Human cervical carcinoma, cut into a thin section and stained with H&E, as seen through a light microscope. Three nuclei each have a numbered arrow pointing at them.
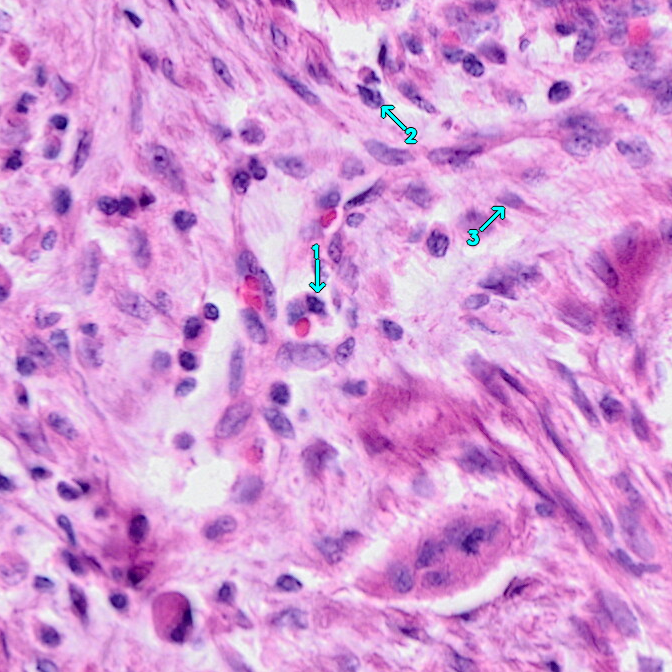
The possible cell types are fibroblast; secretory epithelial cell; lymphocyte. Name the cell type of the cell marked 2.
lymphocyte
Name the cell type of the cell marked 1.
lymphocyte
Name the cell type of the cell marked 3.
fibroblast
